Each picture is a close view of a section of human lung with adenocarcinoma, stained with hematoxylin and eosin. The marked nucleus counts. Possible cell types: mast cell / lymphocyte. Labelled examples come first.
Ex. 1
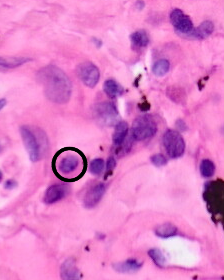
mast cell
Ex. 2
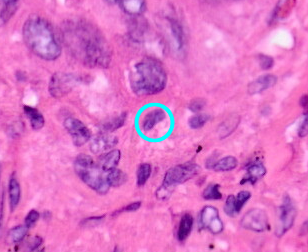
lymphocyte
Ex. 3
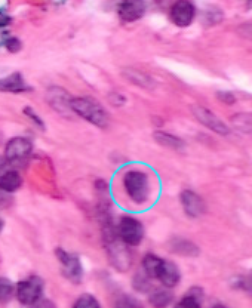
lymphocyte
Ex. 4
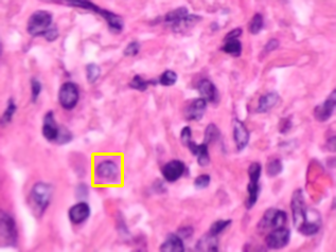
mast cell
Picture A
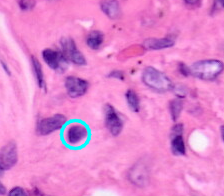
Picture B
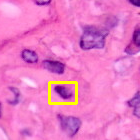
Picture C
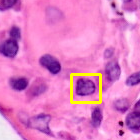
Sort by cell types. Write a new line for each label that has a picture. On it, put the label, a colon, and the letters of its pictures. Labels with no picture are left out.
mast cell: B, C
lymphocyte: A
